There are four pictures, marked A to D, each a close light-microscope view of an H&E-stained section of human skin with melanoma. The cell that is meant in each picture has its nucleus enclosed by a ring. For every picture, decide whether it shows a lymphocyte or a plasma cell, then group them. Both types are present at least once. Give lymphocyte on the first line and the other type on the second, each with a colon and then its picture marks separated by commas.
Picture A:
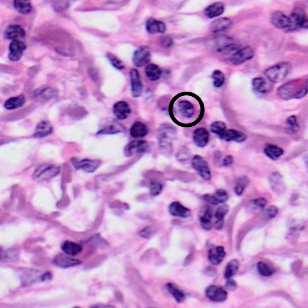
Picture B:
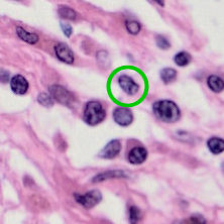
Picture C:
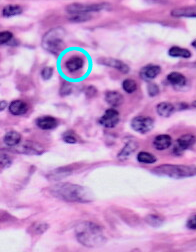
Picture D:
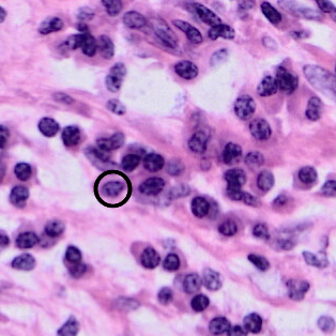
lymphocyte: B
plasma cell: A, C, D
